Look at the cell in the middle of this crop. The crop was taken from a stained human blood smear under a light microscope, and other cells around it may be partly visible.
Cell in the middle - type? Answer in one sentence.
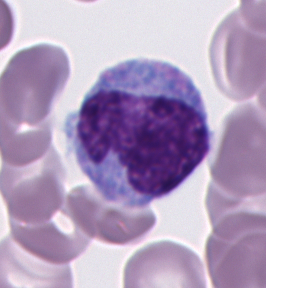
The cell centred in this crop is categorized as a monocyte.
